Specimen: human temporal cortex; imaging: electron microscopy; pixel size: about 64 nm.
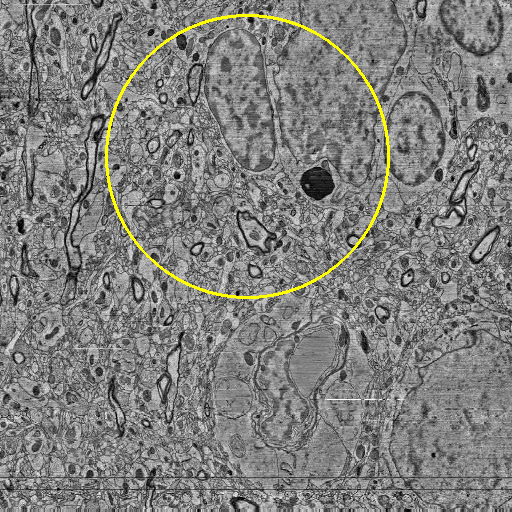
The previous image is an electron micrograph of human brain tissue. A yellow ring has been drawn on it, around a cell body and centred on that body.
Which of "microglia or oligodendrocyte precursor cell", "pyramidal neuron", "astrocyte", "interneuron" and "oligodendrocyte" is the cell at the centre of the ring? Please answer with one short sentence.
The cell body at the centre of the ring belongs to a microglial cell or oligodendrocyte precursor cell.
